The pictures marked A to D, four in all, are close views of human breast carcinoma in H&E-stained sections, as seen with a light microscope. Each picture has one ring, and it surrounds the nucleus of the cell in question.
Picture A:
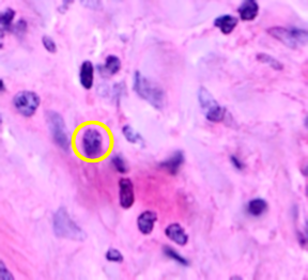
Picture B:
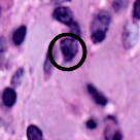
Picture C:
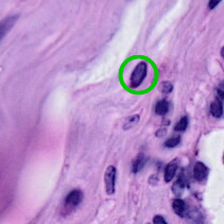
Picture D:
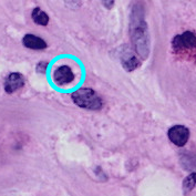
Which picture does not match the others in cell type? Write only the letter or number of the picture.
A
